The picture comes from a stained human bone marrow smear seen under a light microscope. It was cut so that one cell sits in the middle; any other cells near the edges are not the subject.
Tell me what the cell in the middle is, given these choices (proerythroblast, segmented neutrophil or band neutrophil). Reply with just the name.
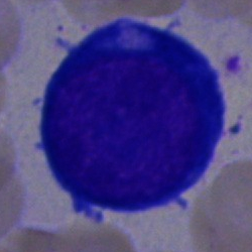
proerythroblast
